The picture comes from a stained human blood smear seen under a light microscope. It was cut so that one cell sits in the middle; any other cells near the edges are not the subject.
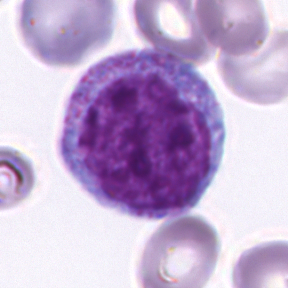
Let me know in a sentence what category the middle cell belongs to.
Here the centrally located cell is a promyelocyte.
